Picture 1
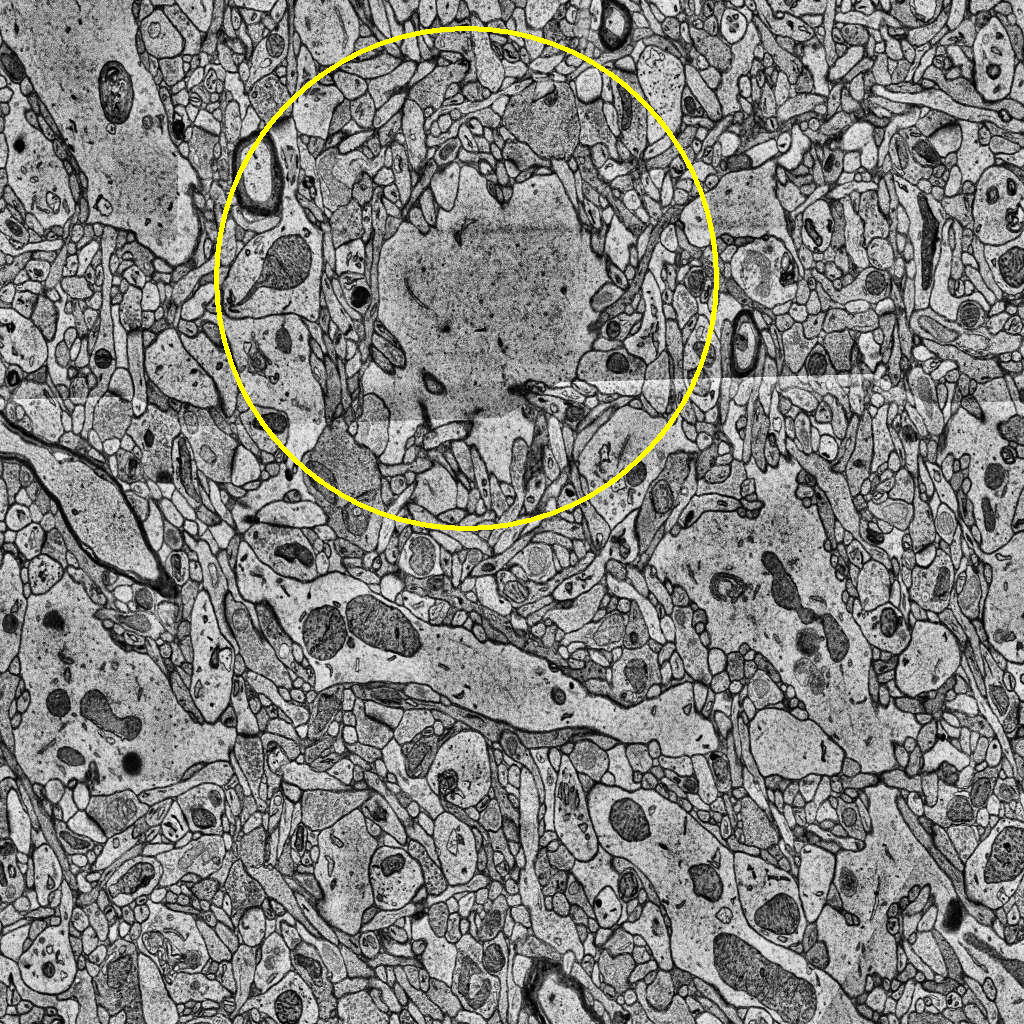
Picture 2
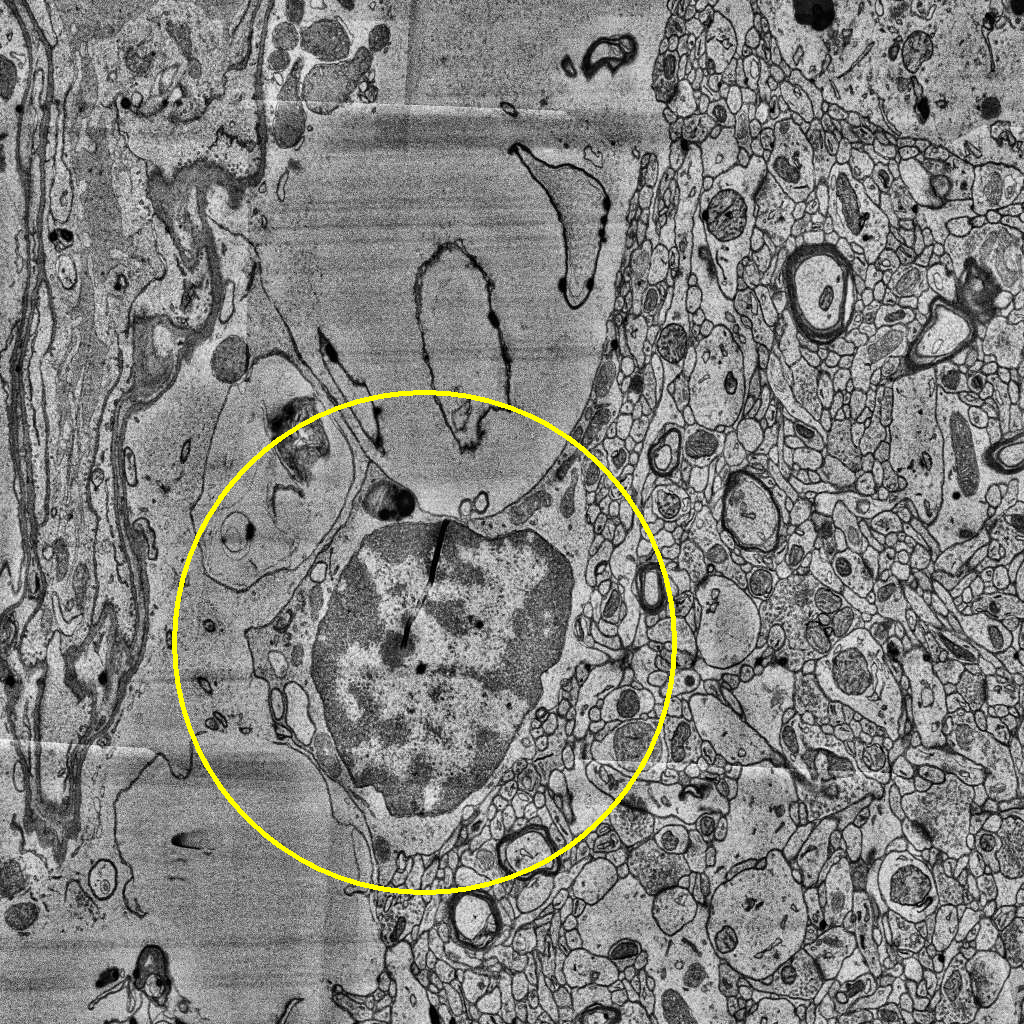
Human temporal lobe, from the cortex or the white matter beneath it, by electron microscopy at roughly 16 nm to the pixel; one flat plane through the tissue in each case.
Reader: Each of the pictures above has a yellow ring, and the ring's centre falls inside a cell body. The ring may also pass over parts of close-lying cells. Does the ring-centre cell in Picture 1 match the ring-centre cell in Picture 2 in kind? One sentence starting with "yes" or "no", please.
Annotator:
No, Picture 1 and Picture 2 show ring-centre cells of two kinds.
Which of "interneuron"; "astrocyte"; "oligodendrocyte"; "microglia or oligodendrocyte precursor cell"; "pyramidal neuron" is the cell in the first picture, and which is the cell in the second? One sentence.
The first ring marks an astrocyte, and the second ring marks a microglial cell or oligodendrocyte precursor cell.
